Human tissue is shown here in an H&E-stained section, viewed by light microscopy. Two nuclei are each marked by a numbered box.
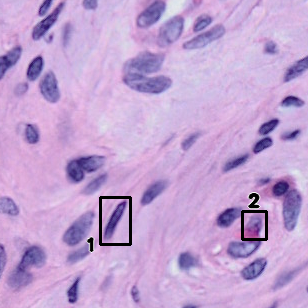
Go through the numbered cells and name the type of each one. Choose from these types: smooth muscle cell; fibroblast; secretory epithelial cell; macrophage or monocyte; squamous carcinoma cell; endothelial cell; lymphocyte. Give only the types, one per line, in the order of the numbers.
fibroblast
endothelial cell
